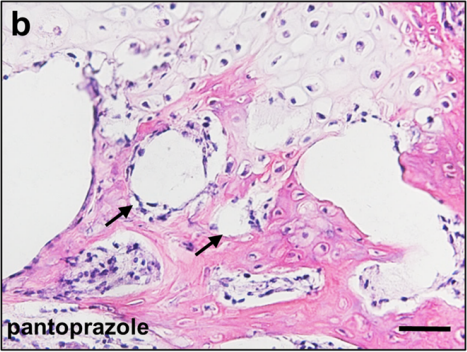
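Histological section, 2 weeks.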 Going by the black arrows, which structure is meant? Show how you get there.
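Microvessels. The arrows point to the edges of rounded open lumens. The lumens are lined by a thin layer of flattened cells with dark nuclei. Pink matrix and pale cartilage-like tissue with cells in lacunae surround them.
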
